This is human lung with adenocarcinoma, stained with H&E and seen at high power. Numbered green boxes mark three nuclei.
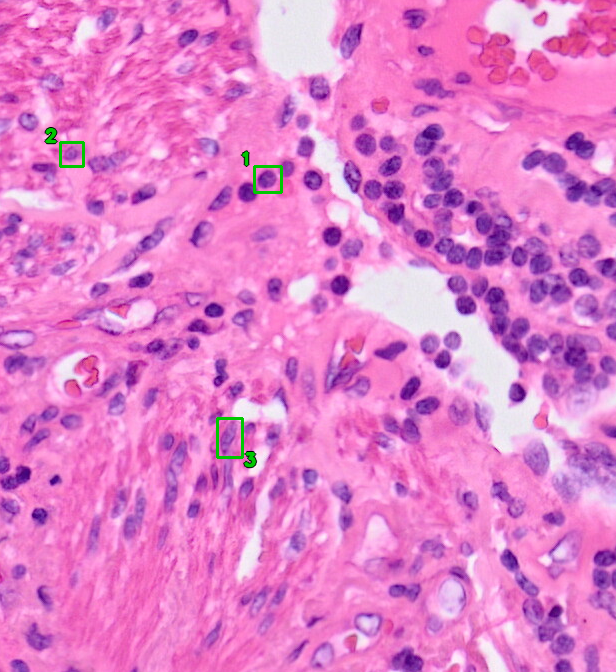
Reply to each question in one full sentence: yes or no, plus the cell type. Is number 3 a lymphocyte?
No, the cell with number 3 is not a lymphocyte but a smooth muscle cell or pericyte.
